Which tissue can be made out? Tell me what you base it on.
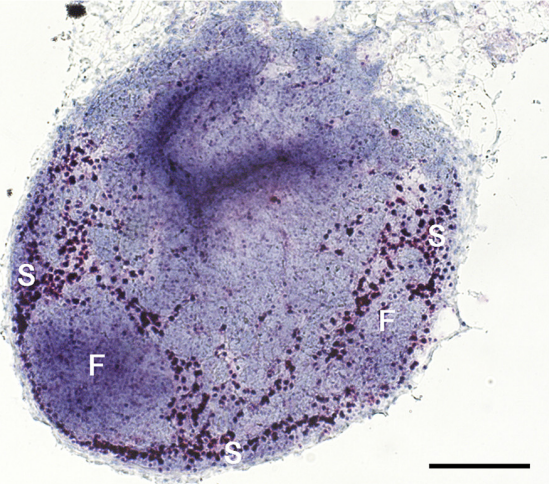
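Oval organ section bounded by a thin capsule. Densely cellular parenchyma with rounded darker-blue nodules near the periphery. Dark-red dotted cells form a band just beneath the capsule.
Hence: lymph nodes.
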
